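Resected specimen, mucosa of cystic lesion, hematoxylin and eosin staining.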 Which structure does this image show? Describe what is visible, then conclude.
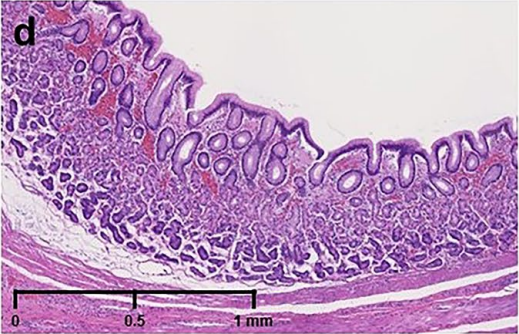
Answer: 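Short surface pits open onto a columnar epithelial lining. Glands contain pink and purple cells. So: fundic glands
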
